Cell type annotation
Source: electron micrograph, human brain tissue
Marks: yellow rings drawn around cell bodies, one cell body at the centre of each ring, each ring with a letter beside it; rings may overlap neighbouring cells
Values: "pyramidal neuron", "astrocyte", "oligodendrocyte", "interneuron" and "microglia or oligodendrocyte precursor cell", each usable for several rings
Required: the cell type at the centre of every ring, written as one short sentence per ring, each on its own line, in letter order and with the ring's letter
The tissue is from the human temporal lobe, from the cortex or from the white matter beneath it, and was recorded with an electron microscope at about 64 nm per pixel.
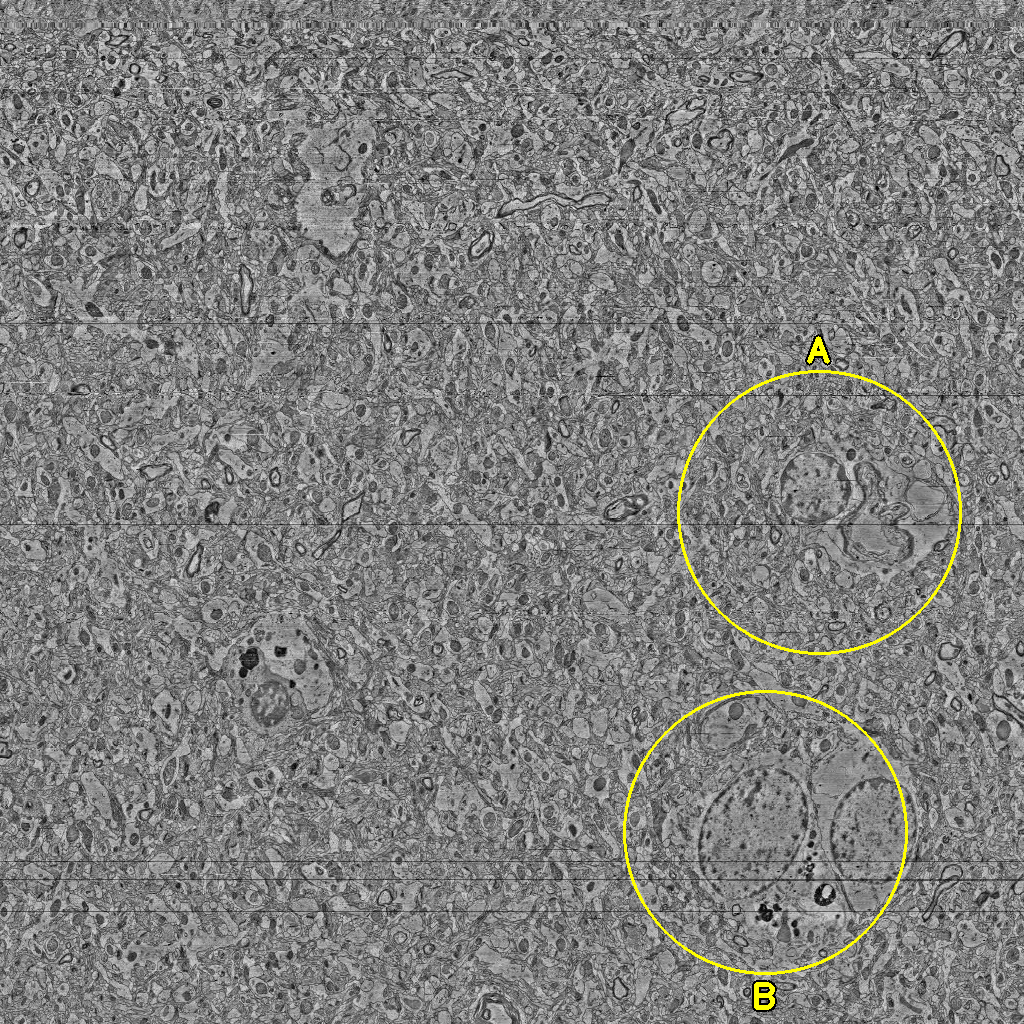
Ring A is annotated as a microglial cell or oligodendrocyte precursor cell.
Ring B is annotated as an astrocyte.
